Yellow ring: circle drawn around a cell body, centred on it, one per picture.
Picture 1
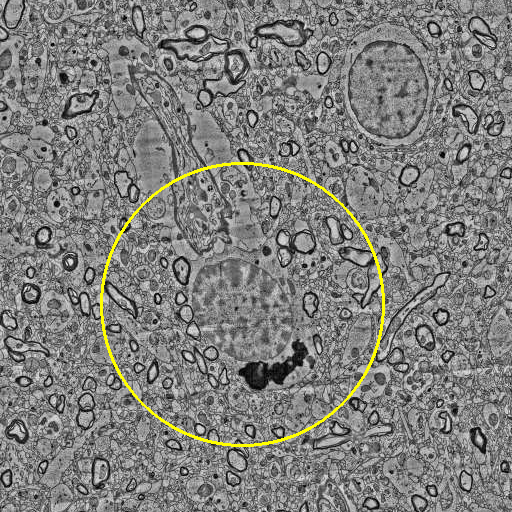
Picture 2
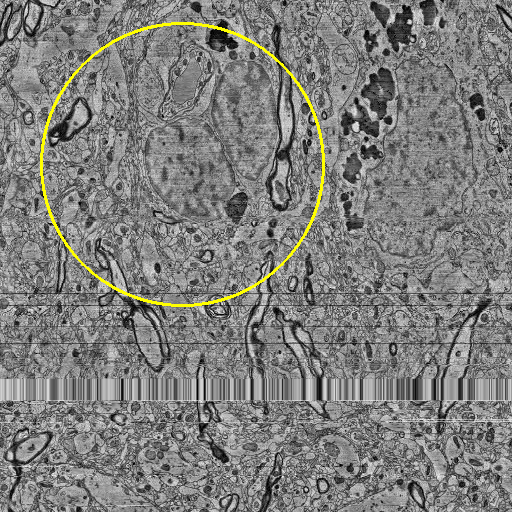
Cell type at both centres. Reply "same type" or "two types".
same type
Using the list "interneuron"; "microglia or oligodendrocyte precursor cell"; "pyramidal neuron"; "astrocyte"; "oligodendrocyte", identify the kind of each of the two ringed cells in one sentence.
In the first picture and in the second, the ring is centred on an oligodendrocyte.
